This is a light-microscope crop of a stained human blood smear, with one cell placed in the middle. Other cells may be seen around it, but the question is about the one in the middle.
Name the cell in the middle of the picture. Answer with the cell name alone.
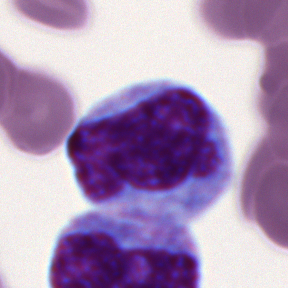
monocyte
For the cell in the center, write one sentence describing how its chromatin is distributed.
One feature to record is coarsely clumped chromatin.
